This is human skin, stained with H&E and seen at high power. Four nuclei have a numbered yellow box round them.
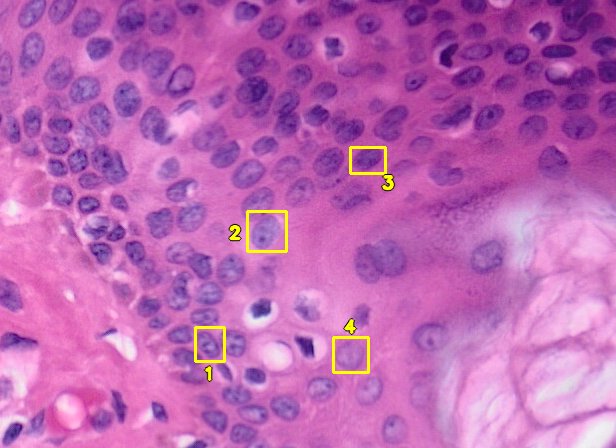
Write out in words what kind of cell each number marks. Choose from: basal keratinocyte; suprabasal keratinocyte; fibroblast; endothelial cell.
Cell 1 is a basal keratinocyte. Cells 2, 3 and 4 are suprabasal keratinocytes.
